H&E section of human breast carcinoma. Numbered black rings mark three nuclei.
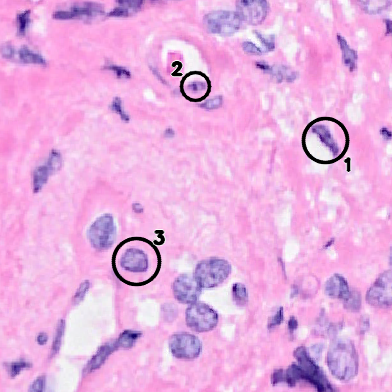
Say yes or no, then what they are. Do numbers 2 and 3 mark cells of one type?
No, cell 2 is an endothelial cell and cell 3 is a carcinoma cell.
